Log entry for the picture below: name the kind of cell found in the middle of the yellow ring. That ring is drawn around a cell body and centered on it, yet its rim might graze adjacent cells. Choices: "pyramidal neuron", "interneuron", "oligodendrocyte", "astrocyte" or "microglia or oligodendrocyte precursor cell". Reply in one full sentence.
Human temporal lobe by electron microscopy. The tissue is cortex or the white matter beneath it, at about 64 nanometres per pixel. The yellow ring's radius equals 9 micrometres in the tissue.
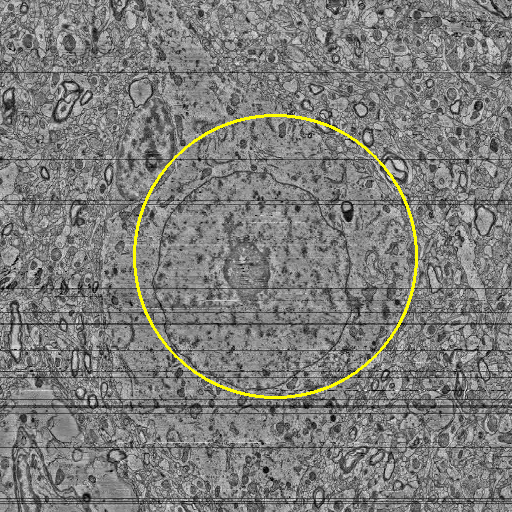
The cell in the middle of the yellow ring in this picture is a pyramidal neuron.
